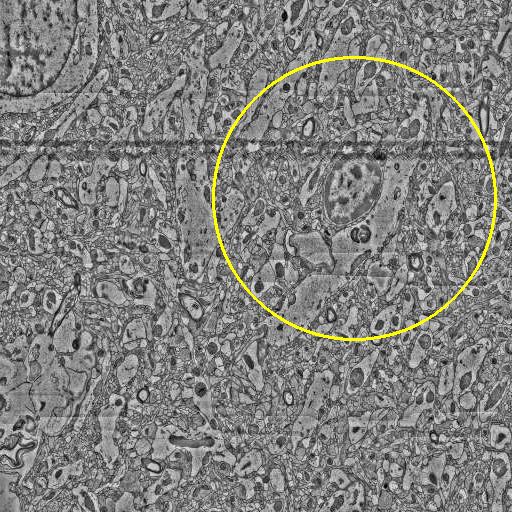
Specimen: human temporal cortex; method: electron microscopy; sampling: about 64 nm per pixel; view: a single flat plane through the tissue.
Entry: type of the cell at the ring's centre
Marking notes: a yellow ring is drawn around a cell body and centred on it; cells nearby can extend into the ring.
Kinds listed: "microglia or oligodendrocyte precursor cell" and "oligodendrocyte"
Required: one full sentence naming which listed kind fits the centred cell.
My entry names a microglial cell or oligodendrocyte precursor cell as the cell whose body the yellow ring centres on.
